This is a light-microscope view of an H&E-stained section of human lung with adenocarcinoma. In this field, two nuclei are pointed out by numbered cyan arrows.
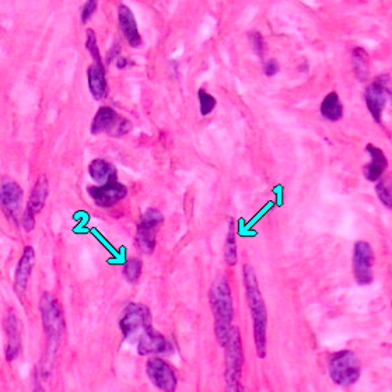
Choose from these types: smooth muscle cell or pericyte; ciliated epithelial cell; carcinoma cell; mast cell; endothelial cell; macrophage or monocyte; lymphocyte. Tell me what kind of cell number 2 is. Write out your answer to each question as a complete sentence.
Number 2 among the marked cells is a lymphocyte.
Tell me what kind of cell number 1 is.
Cell 1, among those numbered, is a smooth muscle cell or pericyte.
